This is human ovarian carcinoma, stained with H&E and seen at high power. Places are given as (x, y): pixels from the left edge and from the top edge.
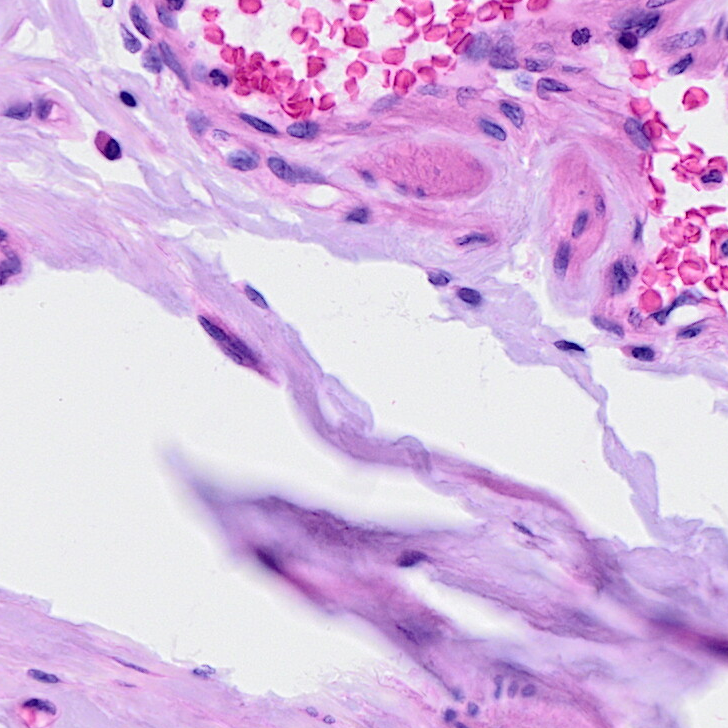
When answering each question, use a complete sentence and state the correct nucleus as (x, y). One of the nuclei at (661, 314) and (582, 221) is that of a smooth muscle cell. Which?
The one at (582, 221) is the nucleus belonging to a smooth muscle cell, not the other one.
